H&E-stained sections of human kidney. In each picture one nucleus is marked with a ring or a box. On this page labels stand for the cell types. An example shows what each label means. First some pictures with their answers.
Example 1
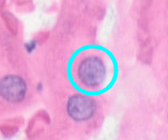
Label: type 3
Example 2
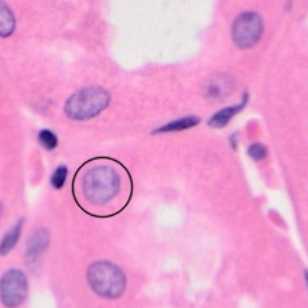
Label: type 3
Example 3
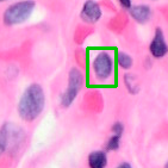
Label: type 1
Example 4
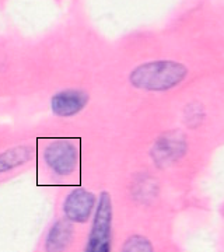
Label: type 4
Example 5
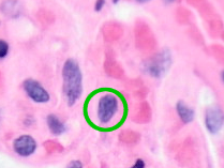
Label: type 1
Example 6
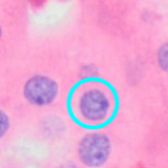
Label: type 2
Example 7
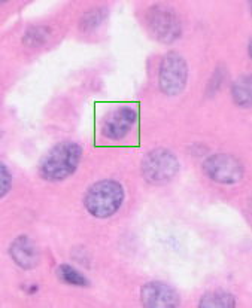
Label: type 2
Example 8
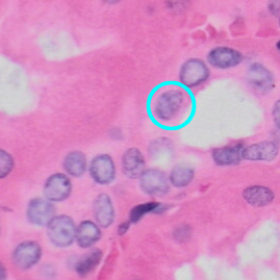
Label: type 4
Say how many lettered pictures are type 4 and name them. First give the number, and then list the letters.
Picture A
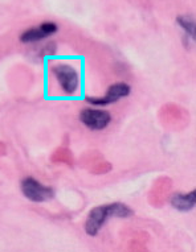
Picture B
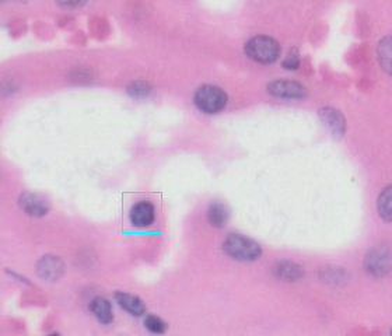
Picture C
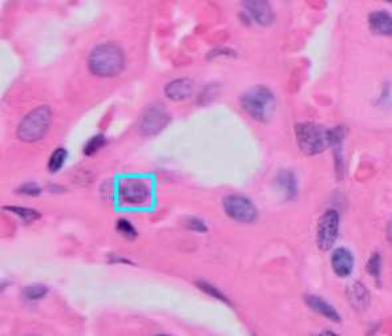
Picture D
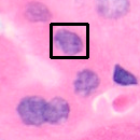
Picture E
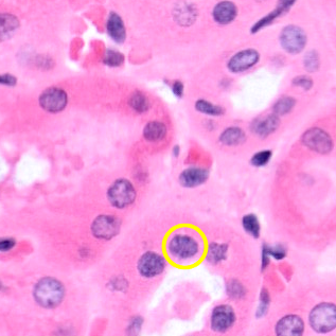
1, namely C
